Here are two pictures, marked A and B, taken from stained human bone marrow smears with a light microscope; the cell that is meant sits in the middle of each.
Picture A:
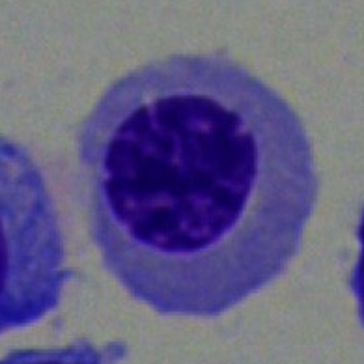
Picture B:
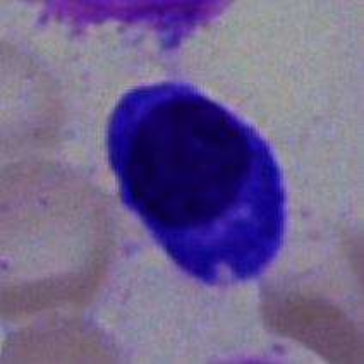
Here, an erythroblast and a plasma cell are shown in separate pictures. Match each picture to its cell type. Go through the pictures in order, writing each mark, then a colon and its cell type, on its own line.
A: erythroblast
B: plasma cell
